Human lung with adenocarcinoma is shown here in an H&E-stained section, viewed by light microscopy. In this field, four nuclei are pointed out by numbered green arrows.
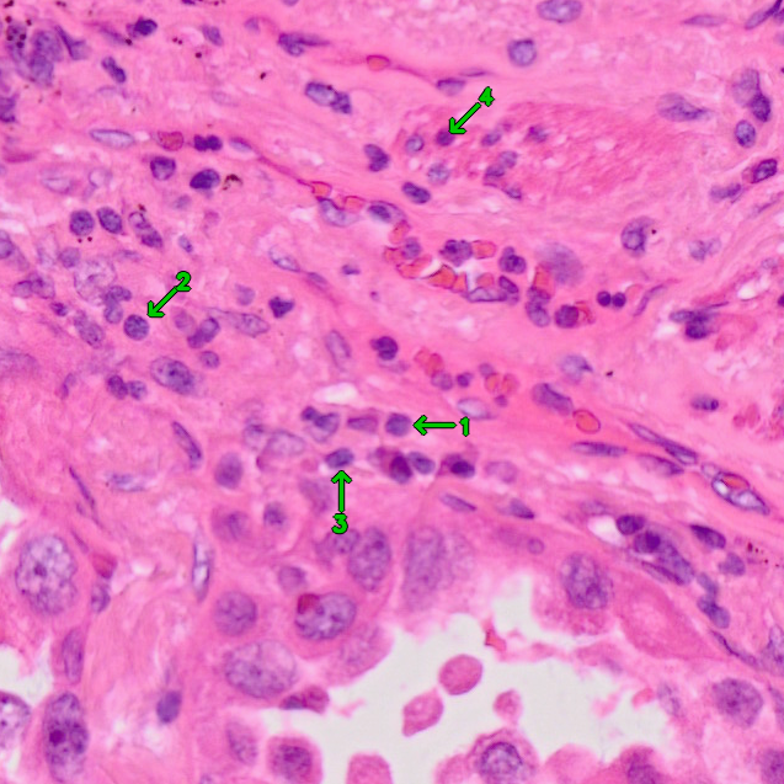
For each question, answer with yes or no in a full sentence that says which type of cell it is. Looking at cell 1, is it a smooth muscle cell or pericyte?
No, cell 1 counts as a lymphocyte rather than as a smooth muscle cell or pericyte.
